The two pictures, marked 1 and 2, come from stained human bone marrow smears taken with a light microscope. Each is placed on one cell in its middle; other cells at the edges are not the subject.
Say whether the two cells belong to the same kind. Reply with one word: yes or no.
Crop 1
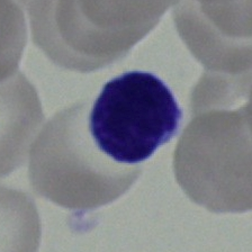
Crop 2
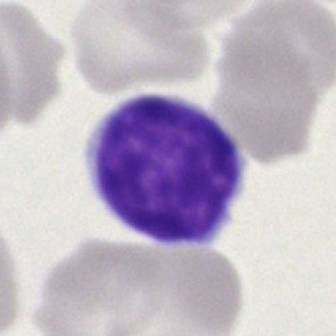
yes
